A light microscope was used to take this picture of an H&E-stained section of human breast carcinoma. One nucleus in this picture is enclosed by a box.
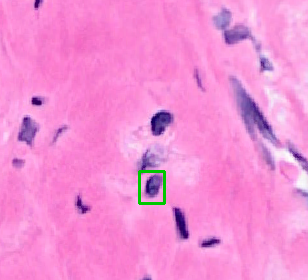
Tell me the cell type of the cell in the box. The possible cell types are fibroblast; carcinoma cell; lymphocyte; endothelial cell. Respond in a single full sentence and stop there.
At the level of cell identity, the cell in the box is a lymphocyte.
